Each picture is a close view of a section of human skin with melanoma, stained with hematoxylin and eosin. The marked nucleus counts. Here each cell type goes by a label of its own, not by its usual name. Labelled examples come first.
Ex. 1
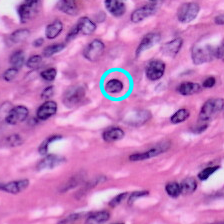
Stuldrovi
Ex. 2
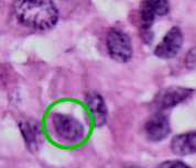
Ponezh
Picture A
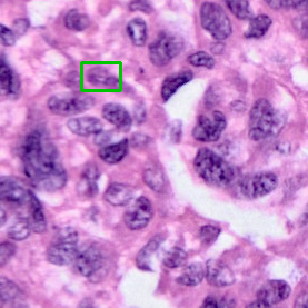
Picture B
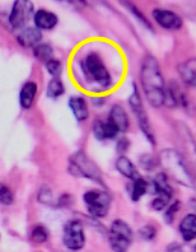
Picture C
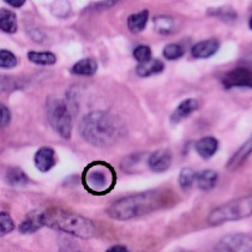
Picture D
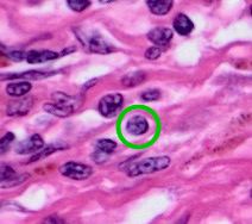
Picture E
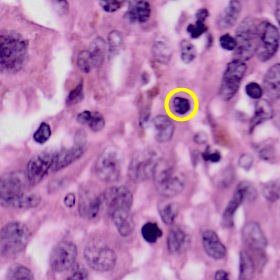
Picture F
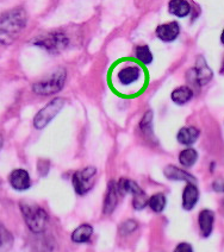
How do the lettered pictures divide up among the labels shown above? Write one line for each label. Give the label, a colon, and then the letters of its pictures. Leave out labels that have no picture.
Stuldrovi: B, C, D, E, F
Ponezh: A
